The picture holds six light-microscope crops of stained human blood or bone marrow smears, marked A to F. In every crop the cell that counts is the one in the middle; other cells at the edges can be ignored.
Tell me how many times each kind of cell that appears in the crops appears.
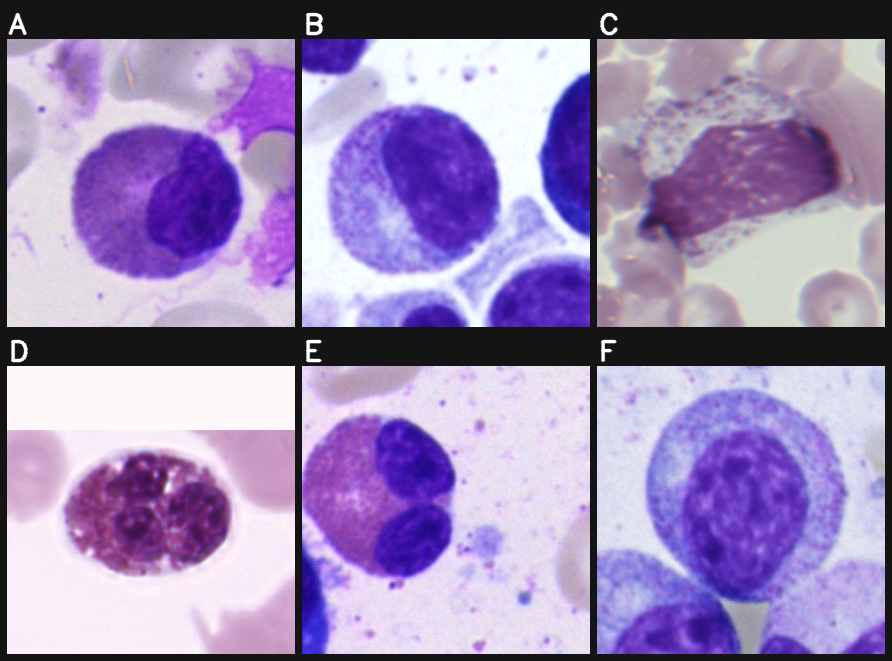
eosinophil: 3
myelocyte: 3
